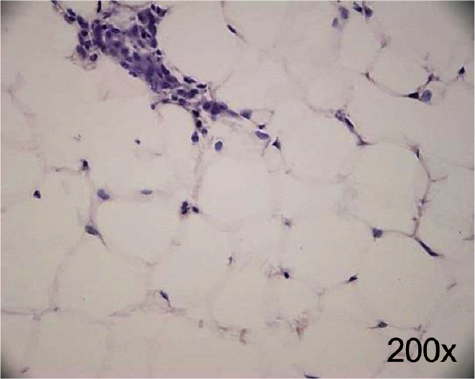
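White adipose tissue with large, unilocular adipocytes that appear as clear, empty polygonal spaces bounded by thin pink cell membranes. Flattened, dark purple nuclei sit at the periphery of some adipocytes, squeezed against the thin rims. In the upper left, a dense cluster of small cells with round to oval dark purple nuclei lies between the adipocytes, forming a focal aggregate. Scattered single small nuclei are also present in the thin spaces between neighbouring fat cells.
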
